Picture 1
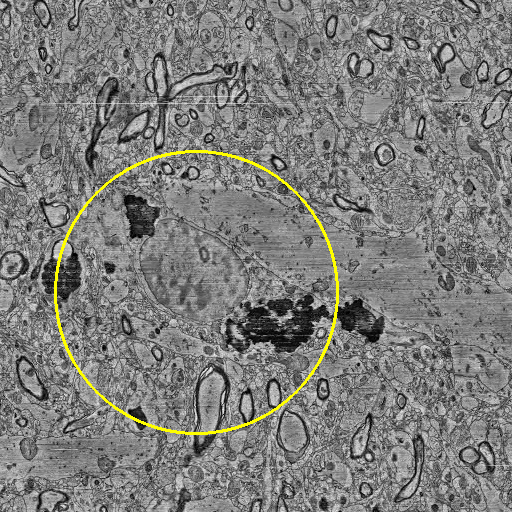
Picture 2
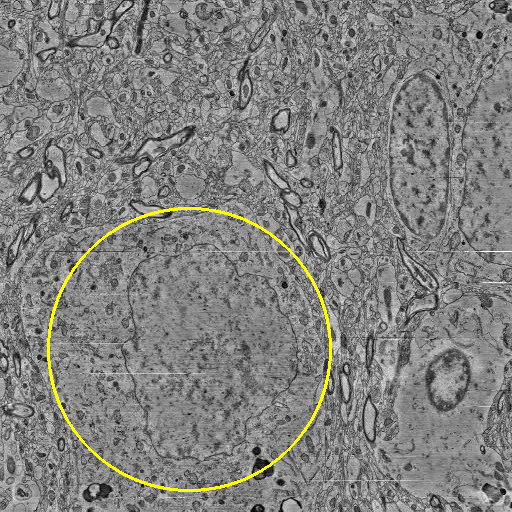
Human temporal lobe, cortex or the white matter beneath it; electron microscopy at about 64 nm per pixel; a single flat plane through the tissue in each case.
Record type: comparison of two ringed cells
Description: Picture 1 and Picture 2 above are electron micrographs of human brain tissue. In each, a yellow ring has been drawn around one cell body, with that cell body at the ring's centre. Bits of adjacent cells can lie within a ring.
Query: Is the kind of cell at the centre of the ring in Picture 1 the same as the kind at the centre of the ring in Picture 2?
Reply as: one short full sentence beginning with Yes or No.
No, the two ringed cells are of two separate kinds.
